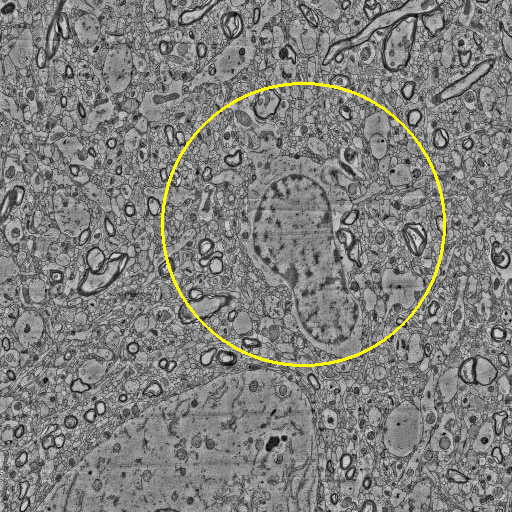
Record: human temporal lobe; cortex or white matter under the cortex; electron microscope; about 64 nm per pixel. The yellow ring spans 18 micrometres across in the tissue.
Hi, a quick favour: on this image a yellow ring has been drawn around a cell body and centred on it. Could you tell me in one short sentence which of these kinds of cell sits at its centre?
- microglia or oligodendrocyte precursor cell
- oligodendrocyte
The ring is centred on a microglial cell or oligodendrocyte precursor cell.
